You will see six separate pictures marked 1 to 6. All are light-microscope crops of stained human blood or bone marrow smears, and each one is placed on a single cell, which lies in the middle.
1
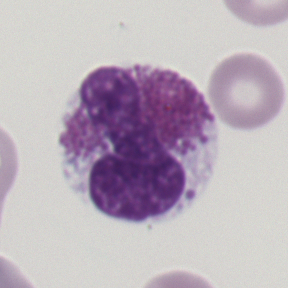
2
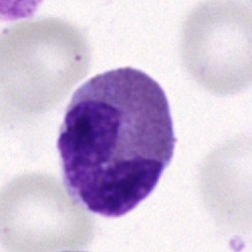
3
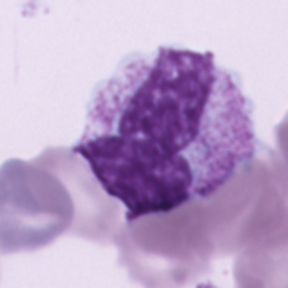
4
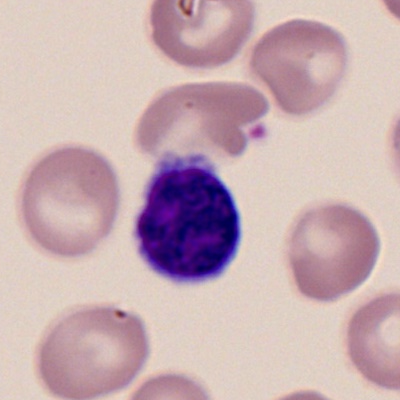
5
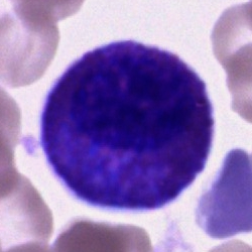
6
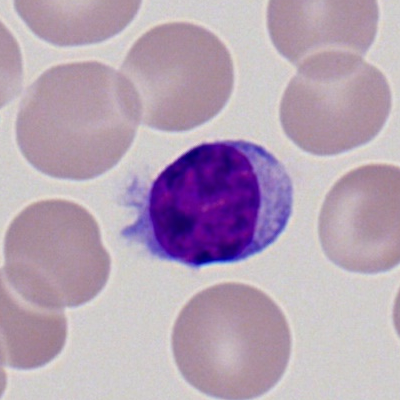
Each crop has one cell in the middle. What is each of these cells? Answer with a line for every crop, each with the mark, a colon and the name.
1: eosinophil
2: eosinophil
3: band neutrophil
4: lymphocyte
5: eosinophil
6: lymphocyte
